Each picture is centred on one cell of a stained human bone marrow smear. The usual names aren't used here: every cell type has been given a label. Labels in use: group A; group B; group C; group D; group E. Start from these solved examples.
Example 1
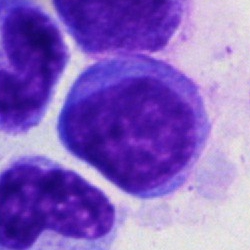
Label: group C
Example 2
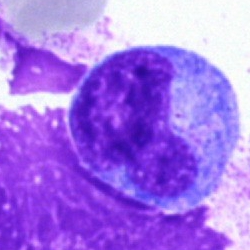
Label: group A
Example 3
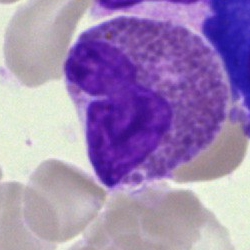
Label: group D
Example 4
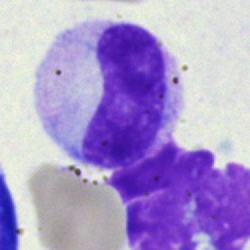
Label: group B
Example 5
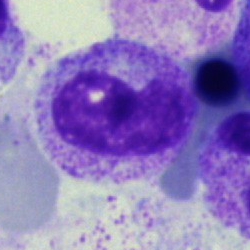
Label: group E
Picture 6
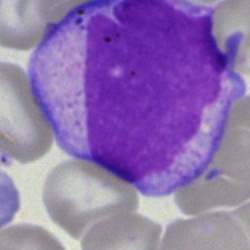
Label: group C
